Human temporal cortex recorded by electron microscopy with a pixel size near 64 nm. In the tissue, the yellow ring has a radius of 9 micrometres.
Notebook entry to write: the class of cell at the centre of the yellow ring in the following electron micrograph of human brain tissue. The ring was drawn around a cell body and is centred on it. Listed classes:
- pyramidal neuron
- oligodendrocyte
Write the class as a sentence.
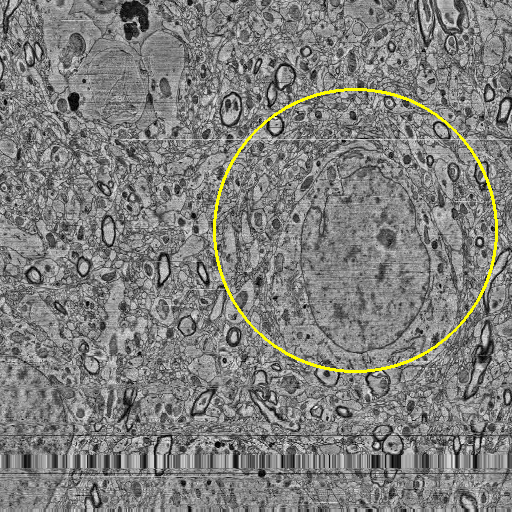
The yellow ring sits on a pyramidal neuron.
